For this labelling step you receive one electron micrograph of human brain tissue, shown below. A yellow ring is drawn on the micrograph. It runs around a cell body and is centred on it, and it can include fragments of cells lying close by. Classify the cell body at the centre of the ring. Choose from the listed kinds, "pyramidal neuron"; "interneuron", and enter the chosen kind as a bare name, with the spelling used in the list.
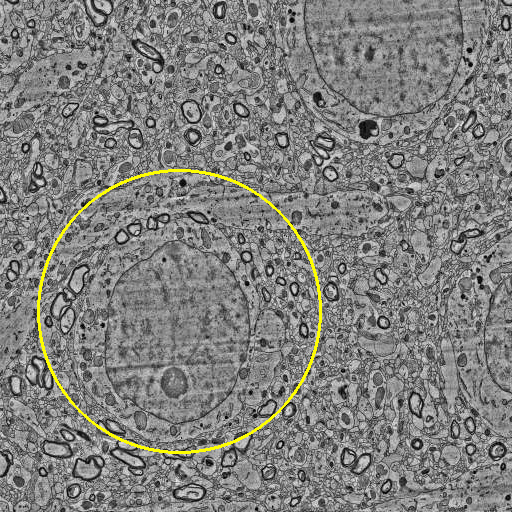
pyramidal neuron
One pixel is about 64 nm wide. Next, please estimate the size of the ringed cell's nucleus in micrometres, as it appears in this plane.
The nucleus works out at approximately 12 by 9 micrometres in this plane.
